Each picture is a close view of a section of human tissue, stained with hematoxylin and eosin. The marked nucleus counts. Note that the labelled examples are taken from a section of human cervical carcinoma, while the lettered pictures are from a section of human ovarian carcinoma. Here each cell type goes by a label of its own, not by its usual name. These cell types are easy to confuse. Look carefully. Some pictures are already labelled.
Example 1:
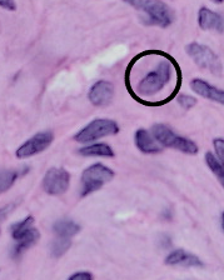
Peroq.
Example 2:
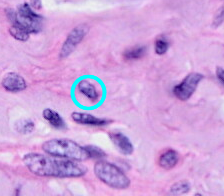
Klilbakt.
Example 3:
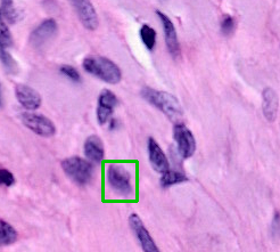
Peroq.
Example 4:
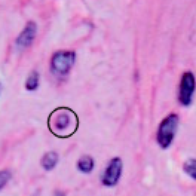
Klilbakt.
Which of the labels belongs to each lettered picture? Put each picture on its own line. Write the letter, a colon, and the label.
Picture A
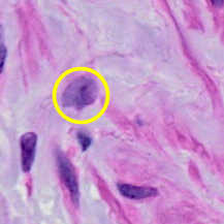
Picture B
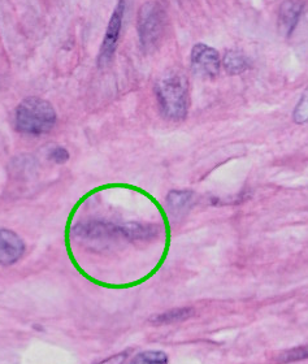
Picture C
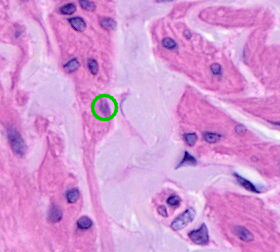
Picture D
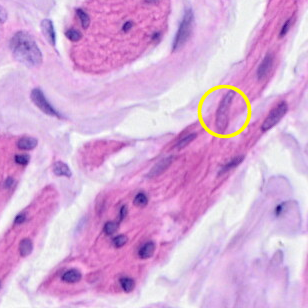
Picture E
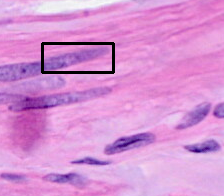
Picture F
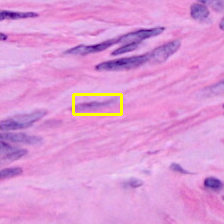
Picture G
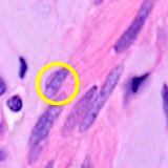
A: Peroq.
B: Peroq.
C: Klilbakt.
D: Klilbakt.
E: Klilbakt.
F: Klilbakt.
G: Klilbakt.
